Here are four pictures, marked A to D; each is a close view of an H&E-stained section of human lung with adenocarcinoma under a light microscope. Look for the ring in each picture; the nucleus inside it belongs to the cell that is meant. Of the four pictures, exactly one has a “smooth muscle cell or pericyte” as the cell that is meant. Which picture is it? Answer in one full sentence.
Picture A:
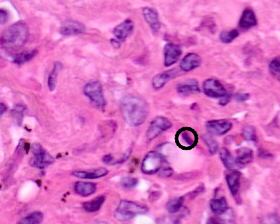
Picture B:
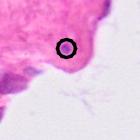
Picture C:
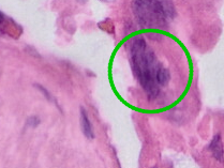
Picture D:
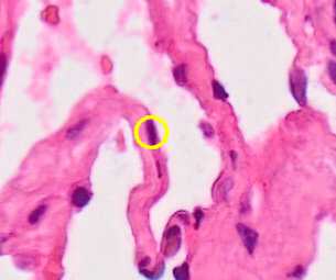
The “smooth muscle cell or pericyte” is the one in picture B.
